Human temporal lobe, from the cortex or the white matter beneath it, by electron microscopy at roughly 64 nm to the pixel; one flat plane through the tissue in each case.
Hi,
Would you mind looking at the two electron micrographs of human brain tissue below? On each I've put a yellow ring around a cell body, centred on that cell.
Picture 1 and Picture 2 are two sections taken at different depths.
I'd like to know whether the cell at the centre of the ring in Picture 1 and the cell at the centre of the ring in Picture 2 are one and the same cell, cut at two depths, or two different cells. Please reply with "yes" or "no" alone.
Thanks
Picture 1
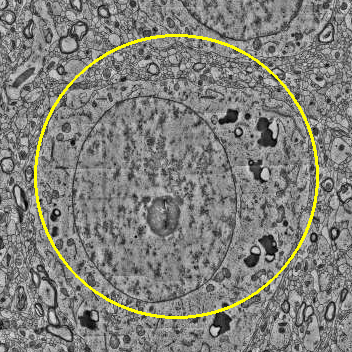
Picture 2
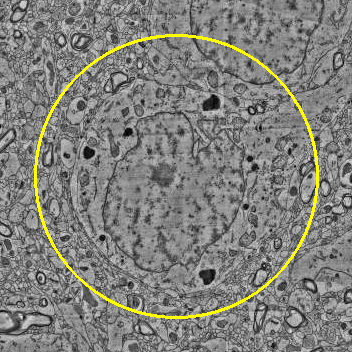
no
